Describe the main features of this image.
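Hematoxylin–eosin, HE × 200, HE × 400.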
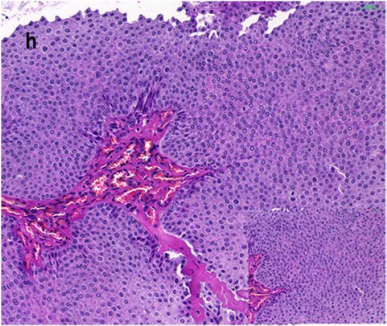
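Urothelial carcinoma grows as broad sheets of epithelium covering a thin branching fibrovascular core stained pink with small red vessels. The epithelium is many cell layers thick. The nuclei are round to oval, crowded and somewhat variable, with pale pink to lilac cytoplasm around them.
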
